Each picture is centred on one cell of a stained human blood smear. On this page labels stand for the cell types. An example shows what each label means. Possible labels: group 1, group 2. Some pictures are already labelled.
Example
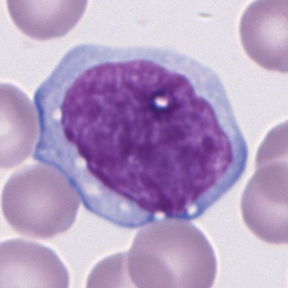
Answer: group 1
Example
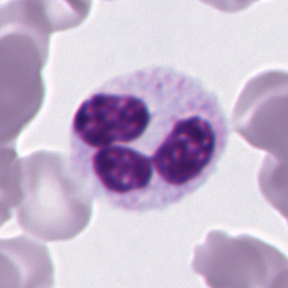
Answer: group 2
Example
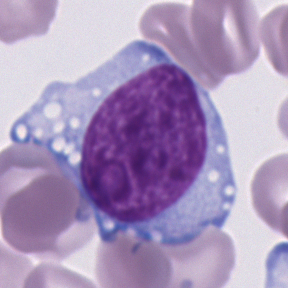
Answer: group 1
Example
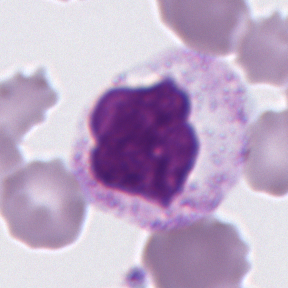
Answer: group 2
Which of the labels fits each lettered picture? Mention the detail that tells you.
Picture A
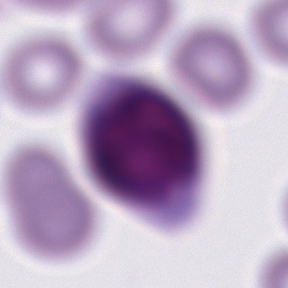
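Label: group 1. The cytoplasm is only a thin rim, widest at the lower right of the cell.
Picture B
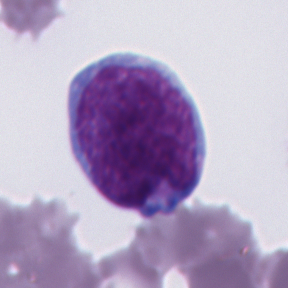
Label: group 1. The cytoplasm forms only a thin rim around the nucleus.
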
